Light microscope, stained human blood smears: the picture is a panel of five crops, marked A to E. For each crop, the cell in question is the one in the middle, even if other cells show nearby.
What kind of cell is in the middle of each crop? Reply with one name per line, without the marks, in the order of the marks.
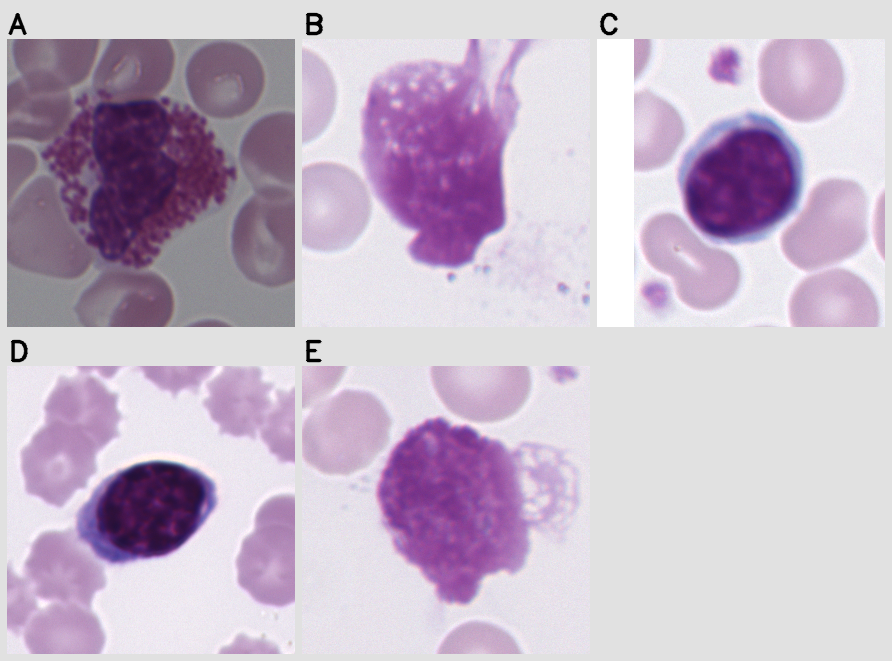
eosinophil
smudge cell
typical lymphocyte
normoblast
smudge cell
